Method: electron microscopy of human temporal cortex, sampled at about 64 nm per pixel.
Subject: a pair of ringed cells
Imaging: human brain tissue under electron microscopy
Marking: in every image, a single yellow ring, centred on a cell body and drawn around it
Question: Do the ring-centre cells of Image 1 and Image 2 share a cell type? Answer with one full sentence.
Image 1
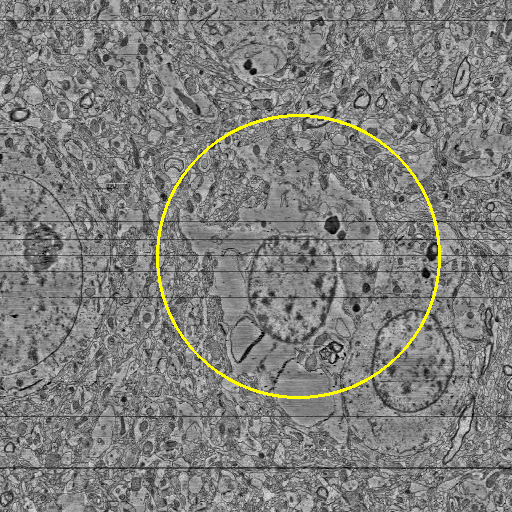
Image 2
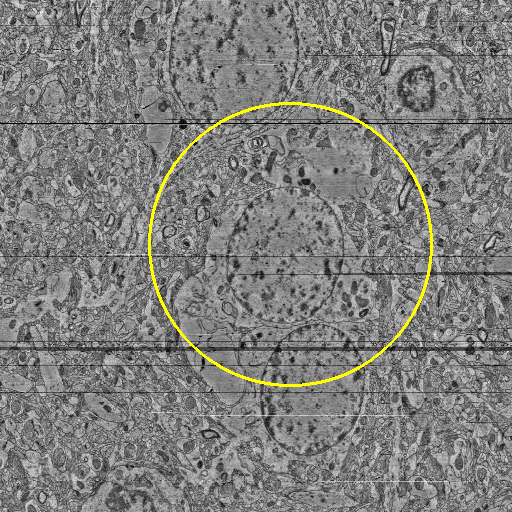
Yes, at each ring's centre in the images sits a cell of one common type.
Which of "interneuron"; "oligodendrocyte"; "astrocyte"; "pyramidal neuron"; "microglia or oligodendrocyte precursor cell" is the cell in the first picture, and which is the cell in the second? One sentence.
Each of the two pictures has an astrocyte at the ring centre.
